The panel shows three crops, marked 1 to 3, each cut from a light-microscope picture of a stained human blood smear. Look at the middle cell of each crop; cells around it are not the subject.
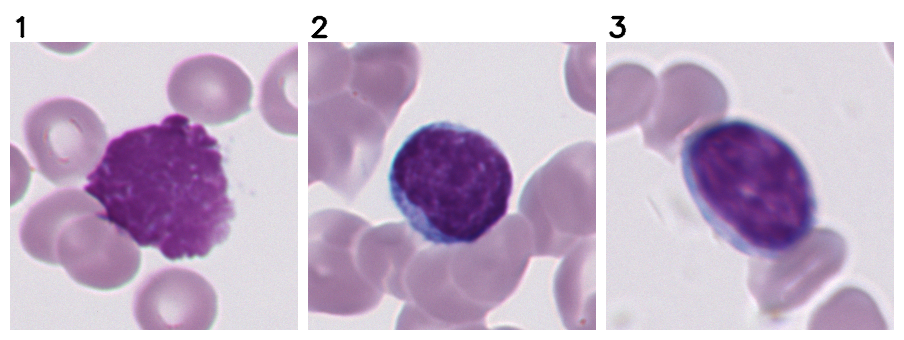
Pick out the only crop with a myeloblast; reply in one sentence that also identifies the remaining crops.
Crop 3 corresponds to a myeloblast, whereas crop 1 is a smudge cell and crop 2 is a typical lymphocyte.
